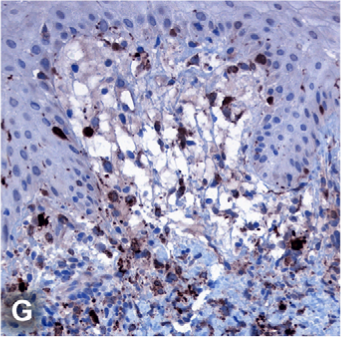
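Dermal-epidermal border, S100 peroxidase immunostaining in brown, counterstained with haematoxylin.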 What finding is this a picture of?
Subepidermal vacuolization.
